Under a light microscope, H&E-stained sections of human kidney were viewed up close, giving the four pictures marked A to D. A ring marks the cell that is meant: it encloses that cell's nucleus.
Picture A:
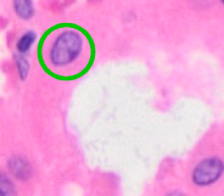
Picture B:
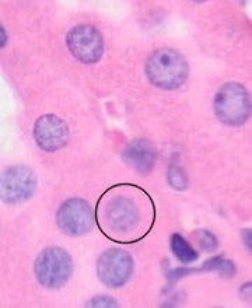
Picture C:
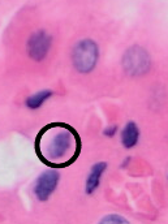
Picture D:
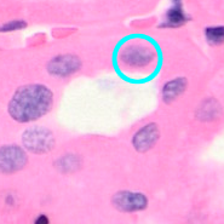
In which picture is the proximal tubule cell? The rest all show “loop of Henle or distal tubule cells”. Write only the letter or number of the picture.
A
